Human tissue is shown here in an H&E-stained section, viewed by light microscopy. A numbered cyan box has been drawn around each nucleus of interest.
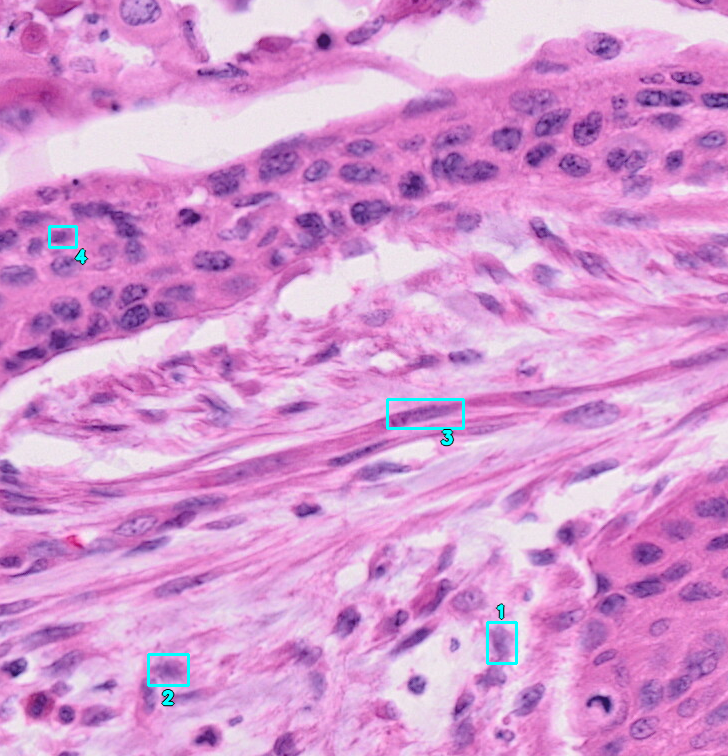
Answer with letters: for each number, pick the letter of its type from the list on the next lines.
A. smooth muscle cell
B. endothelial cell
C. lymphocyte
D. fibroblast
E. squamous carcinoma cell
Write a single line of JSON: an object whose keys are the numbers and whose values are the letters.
{"1": "D", "2": "D", "3": "D", "4": "E"}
